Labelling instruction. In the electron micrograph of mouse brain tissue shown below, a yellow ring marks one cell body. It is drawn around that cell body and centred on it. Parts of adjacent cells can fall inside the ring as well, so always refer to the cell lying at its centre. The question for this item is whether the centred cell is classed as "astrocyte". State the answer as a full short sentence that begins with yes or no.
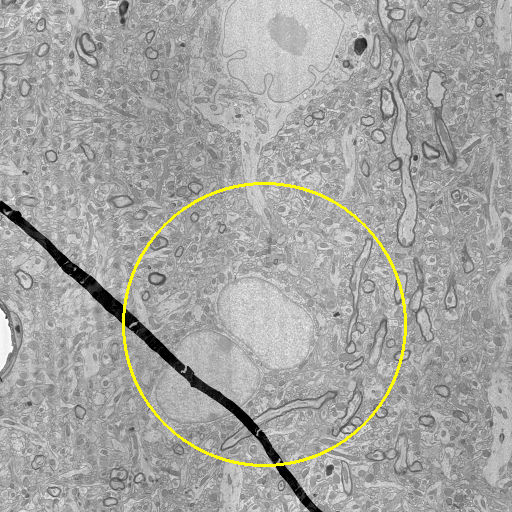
Yes, the centred cell is of that class.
